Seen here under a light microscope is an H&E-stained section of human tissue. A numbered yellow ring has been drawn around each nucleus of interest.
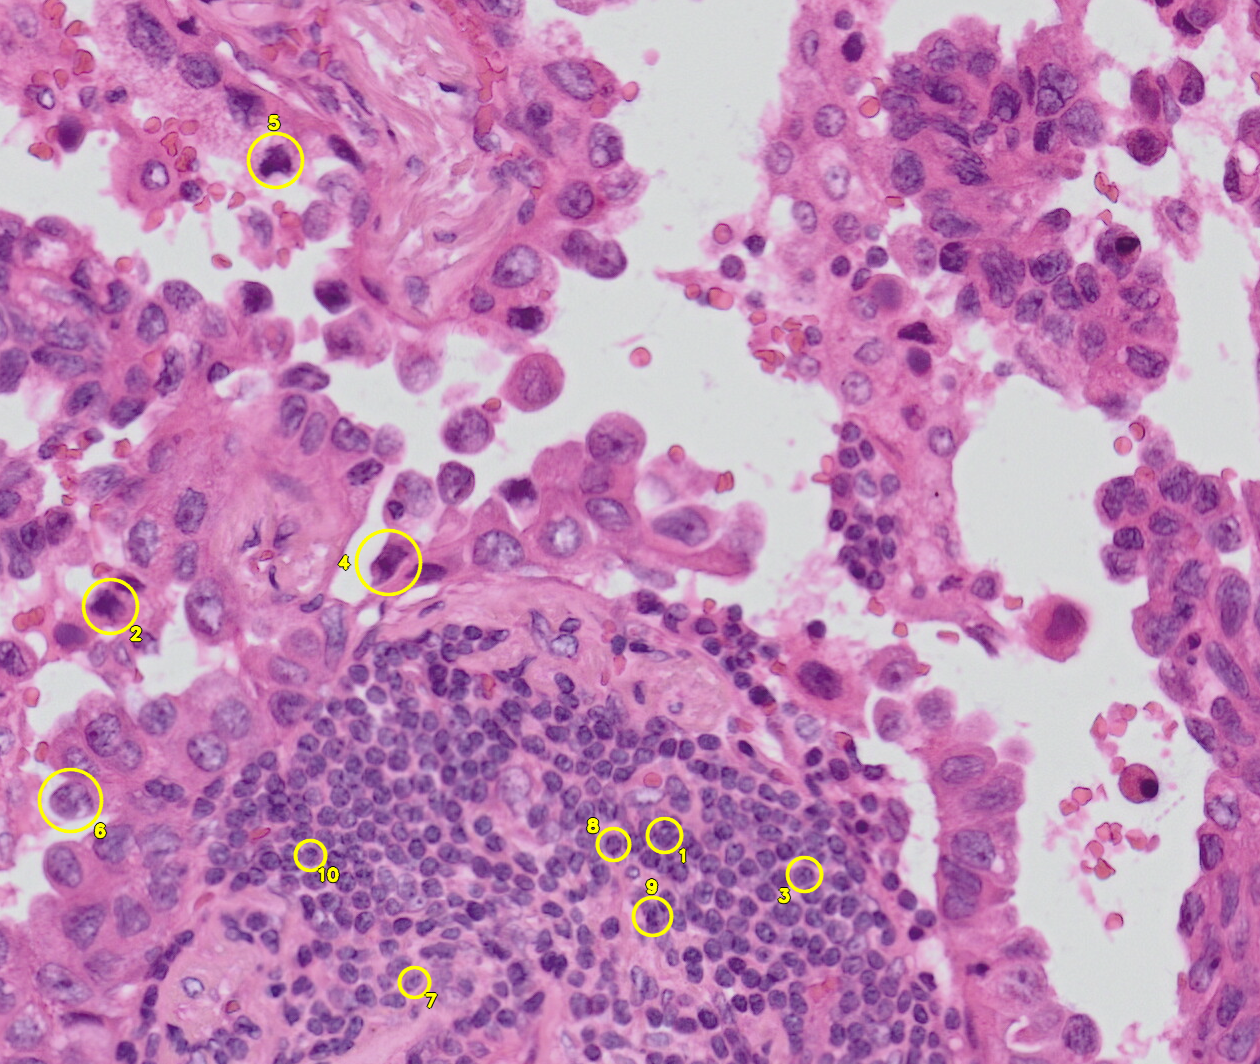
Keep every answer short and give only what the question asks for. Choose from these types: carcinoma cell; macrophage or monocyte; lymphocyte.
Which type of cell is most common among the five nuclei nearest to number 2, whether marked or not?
macrophage or monocyte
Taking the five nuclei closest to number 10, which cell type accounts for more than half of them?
lymphocyte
